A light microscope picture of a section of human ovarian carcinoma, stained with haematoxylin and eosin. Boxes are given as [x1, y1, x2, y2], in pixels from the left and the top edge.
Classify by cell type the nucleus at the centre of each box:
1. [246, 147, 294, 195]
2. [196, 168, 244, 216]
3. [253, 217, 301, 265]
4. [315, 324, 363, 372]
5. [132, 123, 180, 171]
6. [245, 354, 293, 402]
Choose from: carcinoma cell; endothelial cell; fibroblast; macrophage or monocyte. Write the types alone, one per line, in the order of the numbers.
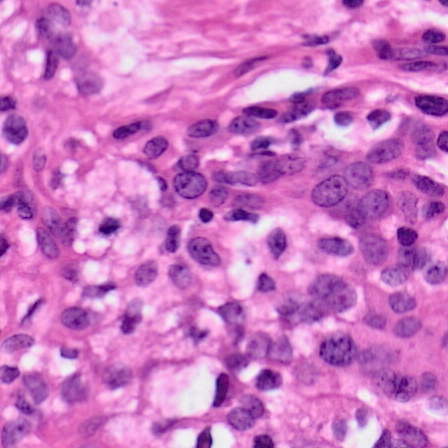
carcinoma cell
carcinoma cell
macrophage or monocyte
carcinoma cell
macrophage or monocyte
carcinoma cell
